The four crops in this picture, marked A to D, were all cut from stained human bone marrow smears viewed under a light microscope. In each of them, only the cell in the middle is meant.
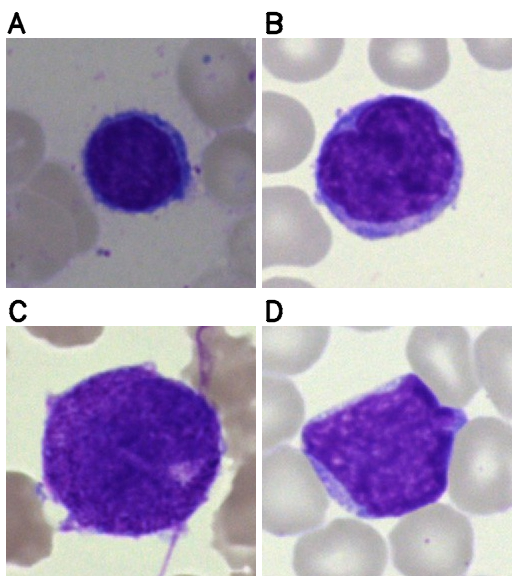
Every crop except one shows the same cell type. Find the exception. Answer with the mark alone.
A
